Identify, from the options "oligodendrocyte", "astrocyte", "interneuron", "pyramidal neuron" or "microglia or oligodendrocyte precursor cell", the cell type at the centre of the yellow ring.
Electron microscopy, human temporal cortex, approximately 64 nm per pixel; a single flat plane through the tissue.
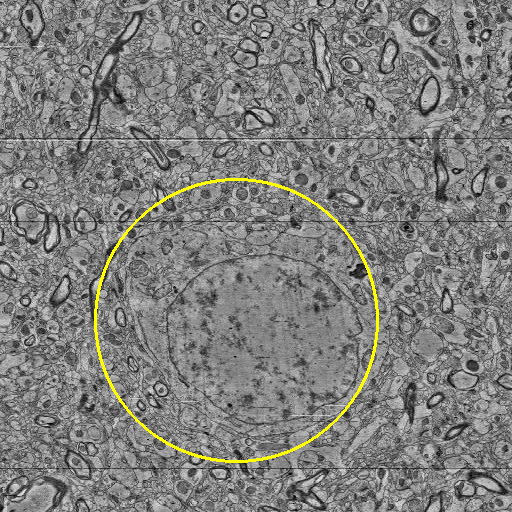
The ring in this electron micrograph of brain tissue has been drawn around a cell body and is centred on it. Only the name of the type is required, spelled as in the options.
pyramidal neuron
